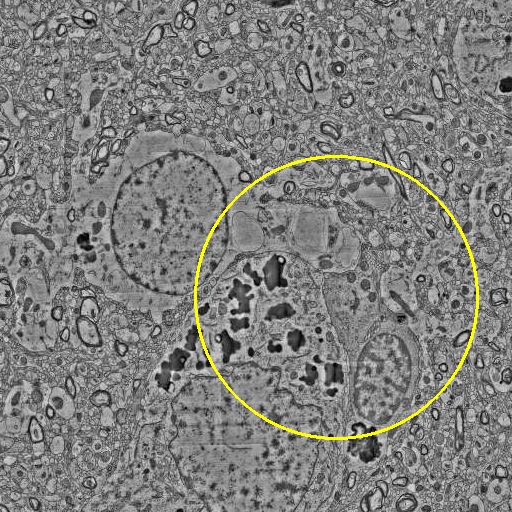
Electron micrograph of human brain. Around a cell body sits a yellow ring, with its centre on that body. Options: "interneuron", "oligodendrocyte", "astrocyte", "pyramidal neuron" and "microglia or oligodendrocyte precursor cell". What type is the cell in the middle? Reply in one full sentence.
The cell sitting at the centre of the yellow ring is an oligodendrocyte.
